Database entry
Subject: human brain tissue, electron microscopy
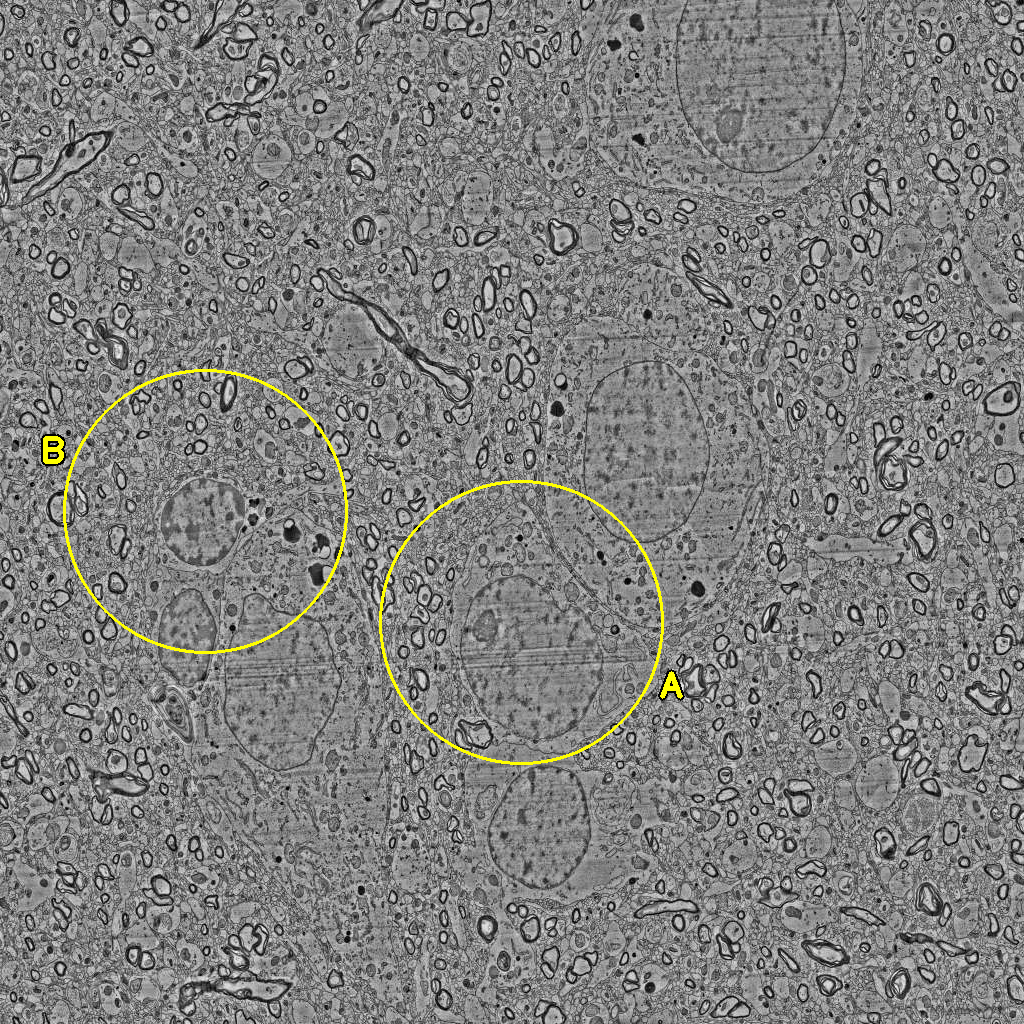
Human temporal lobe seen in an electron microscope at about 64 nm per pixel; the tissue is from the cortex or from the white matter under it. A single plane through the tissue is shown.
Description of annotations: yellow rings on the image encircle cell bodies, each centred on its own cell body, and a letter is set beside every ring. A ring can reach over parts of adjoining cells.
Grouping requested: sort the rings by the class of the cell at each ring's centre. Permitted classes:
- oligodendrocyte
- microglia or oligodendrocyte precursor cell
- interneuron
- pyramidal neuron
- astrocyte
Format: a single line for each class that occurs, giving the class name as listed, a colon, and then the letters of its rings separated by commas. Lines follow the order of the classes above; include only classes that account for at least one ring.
microglia or oligodendrocyte precursor cell: B
interneuron: A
